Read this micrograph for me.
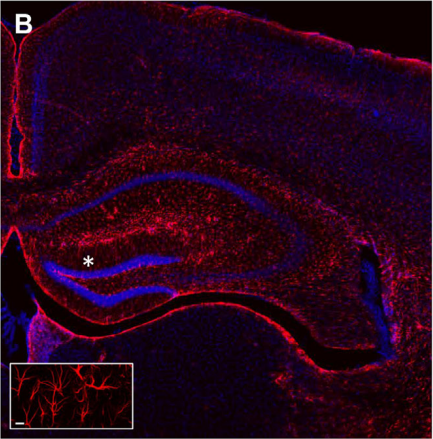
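A frontal section through the hippocampus with overlying cortex, with astrocytes marked in red. Blue nuclear staining outlines the densely packed curved band of the pyramidal cell layer and the V-shaped band of the dentate granule cells. Red labeling is scattered across the tissue and is denser within the hippocampus, especially in the area between and around the cell layers, and forms bright lines along the surfaces bordering the ventricle and the brain surface. The magnified inset shows individual star-shaped astrocytes, each with a small body and several slender red processes radiating outward in different directions.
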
